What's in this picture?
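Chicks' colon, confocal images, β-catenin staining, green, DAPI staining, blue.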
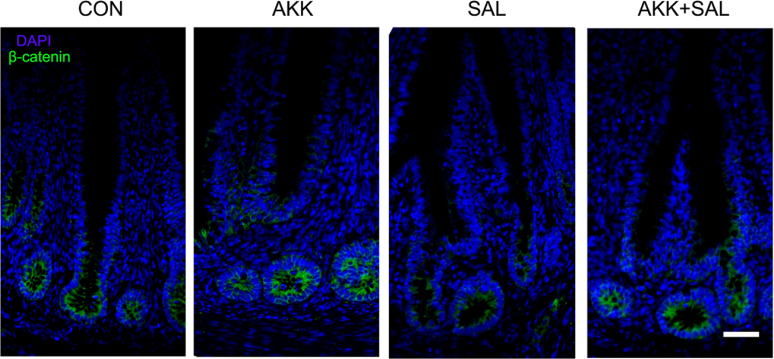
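The nuclei, stained blue, are densely packed, lining the folds as a crowded epithelium and filling the tissue between them. At the bottom of each image the crypts appear as round or oval rings of columnar cells whose nuclei stand side by side around a small central lumen. The green stain is strongest in these basal crypt rings, where it outlines the cells of the ring, while the upper folds carry only faint green. The amount of green in the crypt bases differs visibly from one image to the next.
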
